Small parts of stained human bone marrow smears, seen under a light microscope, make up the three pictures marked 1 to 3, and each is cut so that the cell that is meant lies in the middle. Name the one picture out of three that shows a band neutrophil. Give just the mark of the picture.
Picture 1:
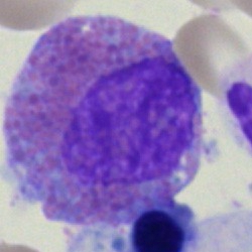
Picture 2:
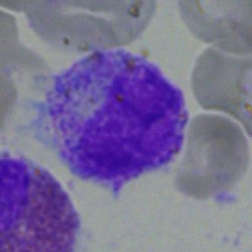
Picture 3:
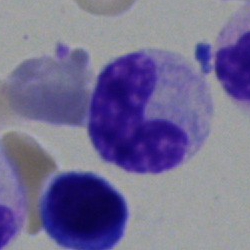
3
